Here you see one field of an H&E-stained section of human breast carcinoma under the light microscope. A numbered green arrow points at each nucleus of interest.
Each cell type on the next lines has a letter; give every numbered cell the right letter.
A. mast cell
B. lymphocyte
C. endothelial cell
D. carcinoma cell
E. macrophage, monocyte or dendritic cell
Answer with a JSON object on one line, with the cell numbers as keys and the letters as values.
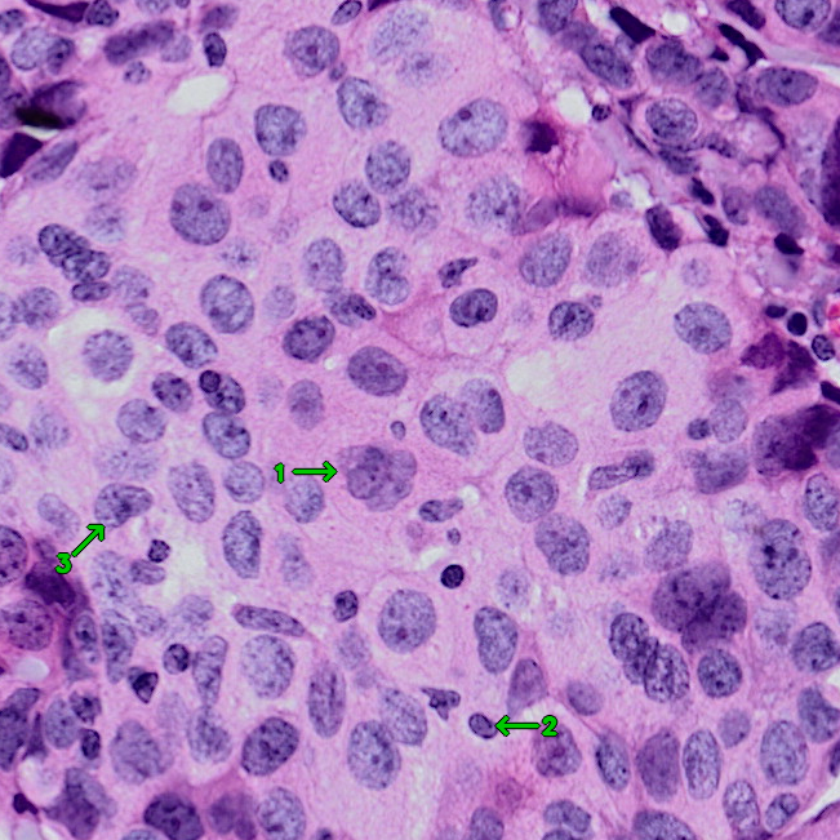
{"1": "D", "2": "B", "3": "D"}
